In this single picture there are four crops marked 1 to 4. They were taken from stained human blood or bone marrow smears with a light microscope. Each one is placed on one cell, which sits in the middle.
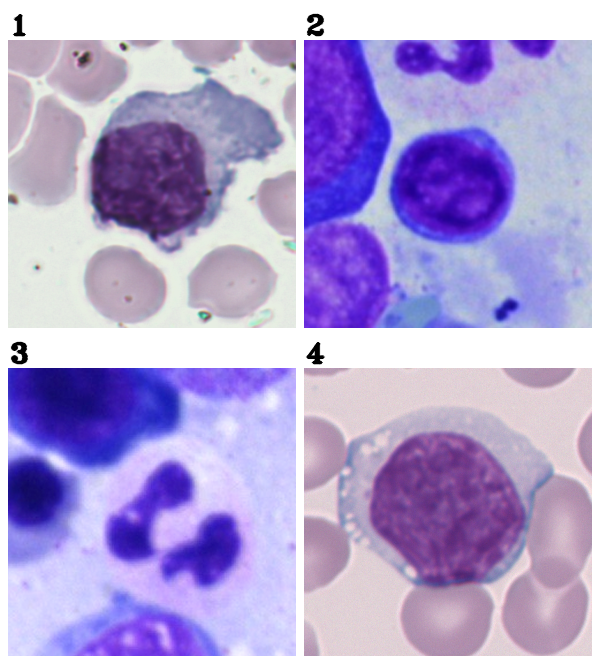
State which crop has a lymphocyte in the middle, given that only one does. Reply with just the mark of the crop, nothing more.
2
